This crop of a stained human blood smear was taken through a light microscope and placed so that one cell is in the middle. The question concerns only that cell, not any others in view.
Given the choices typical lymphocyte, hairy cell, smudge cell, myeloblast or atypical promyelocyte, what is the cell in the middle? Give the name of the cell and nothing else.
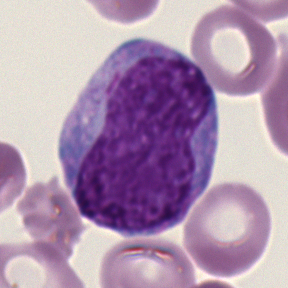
atypical promyelocyte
